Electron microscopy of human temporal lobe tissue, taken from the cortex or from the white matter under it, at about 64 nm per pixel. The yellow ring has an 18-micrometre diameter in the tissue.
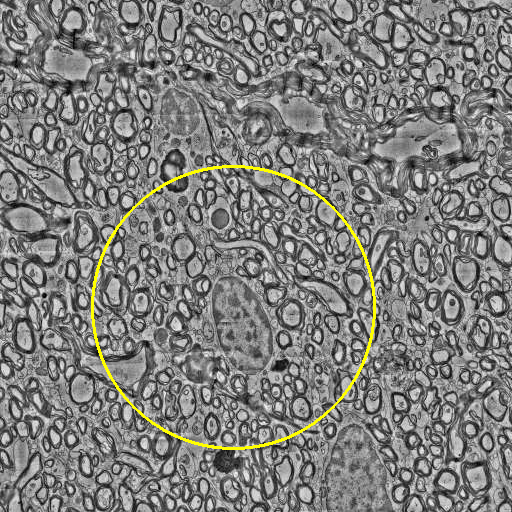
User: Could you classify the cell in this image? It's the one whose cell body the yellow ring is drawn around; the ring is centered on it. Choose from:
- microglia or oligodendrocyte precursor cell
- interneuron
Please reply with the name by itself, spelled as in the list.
microglia or oligodendrocyte precursor cell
